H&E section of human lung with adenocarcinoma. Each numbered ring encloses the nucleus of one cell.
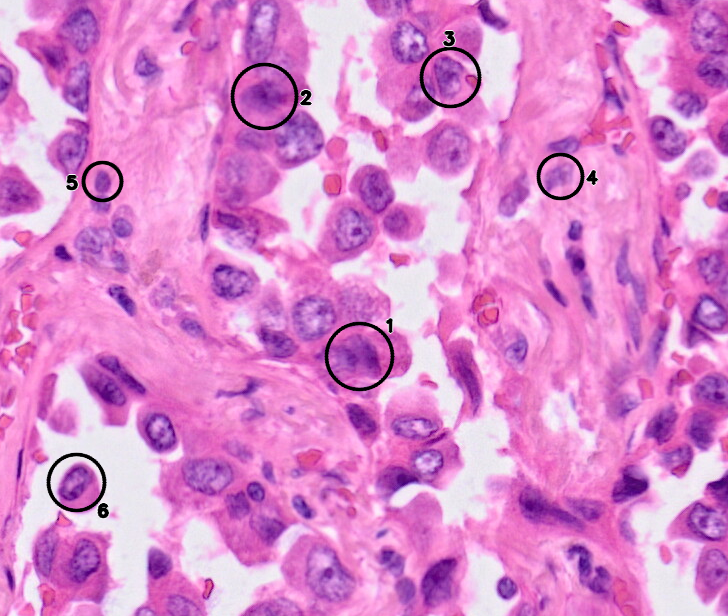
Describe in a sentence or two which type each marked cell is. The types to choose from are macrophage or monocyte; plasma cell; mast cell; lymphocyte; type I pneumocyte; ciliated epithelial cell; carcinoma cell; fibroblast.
Cell 1 is a carcinoma cell, cell 2 is a carcinoma cell, cell 3 is a carcinoma cell, cell 4 is a fibroblast, cell 5 is a lymphocyte and cell 6 is a carcinoma cell.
